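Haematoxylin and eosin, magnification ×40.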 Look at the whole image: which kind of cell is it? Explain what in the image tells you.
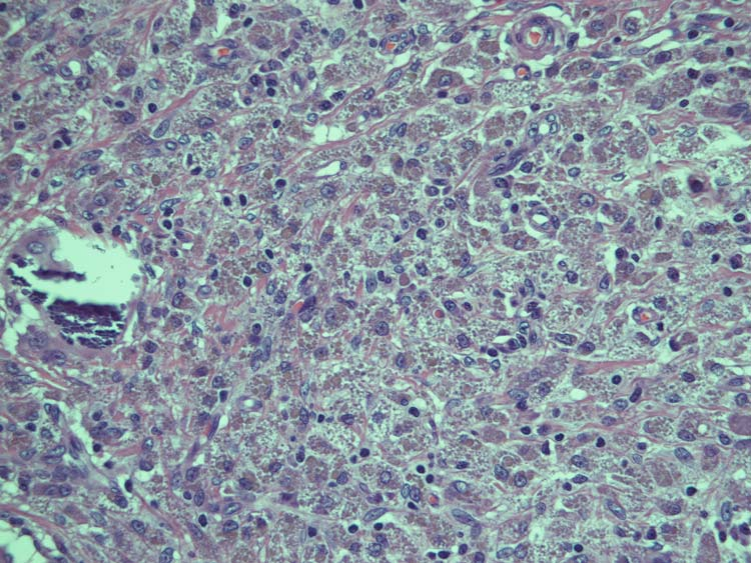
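Sheets of large polygonal cells with abundant granular cytoplasm fill the field. The large cells have round to oval, pale nuclei. Small dark round nuclei of other cells lie scattered between them.
Conclusion: histiocytes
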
